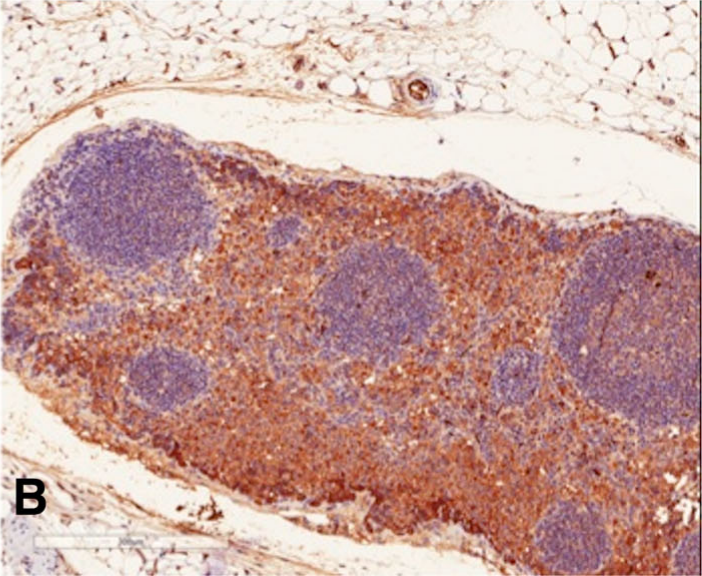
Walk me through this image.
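A compact, elongated cellular organ lies within pale adipose tissue. It is bordered by a thin capsule and separated from the surrounding fat by a clear space. Several round to oval nodules of densely packed small cells with dark blue nuclei lie along its edge and scattered within it. Between these nodules, the tissue is more loosely arranged and stained diffusely and intensely brown. The adipocytes above are large, empty, polygonal cells with thin walls. A small vessel lies among them.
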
